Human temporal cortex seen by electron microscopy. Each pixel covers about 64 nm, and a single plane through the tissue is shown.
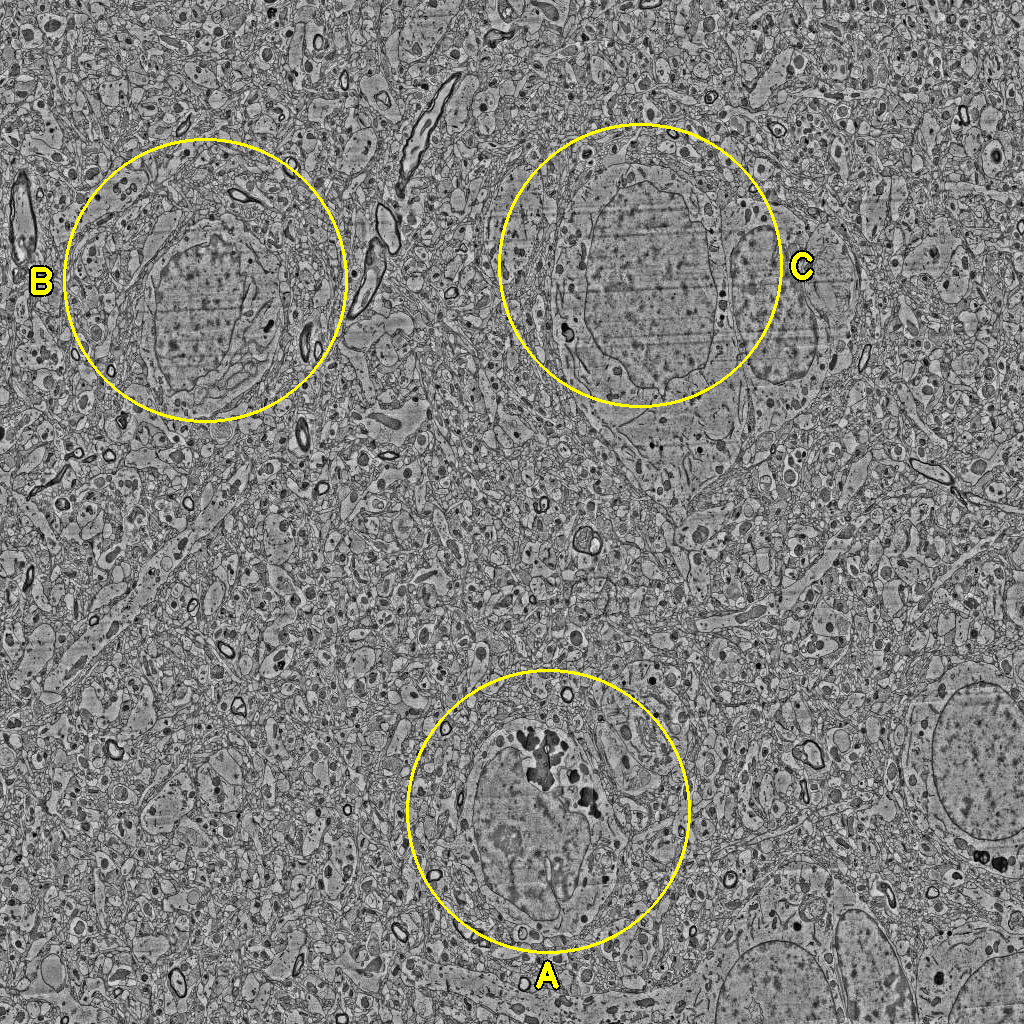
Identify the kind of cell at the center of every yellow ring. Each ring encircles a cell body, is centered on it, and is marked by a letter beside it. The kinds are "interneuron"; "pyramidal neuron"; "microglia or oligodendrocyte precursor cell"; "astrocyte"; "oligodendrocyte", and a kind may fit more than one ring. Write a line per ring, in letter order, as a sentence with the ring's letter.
The cell centered in ring A is an interneuron.
The cell centered in ring B is an interneuron.
The cell centered in ring C is a pyramidal neuron.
